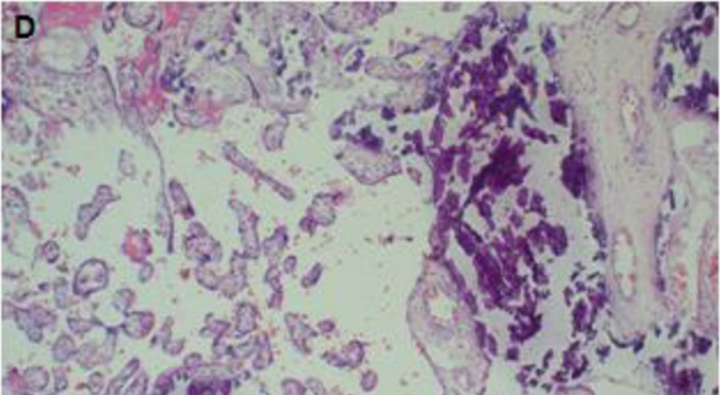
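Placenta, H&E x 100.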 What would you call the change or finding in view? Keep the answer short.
severe calcifications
